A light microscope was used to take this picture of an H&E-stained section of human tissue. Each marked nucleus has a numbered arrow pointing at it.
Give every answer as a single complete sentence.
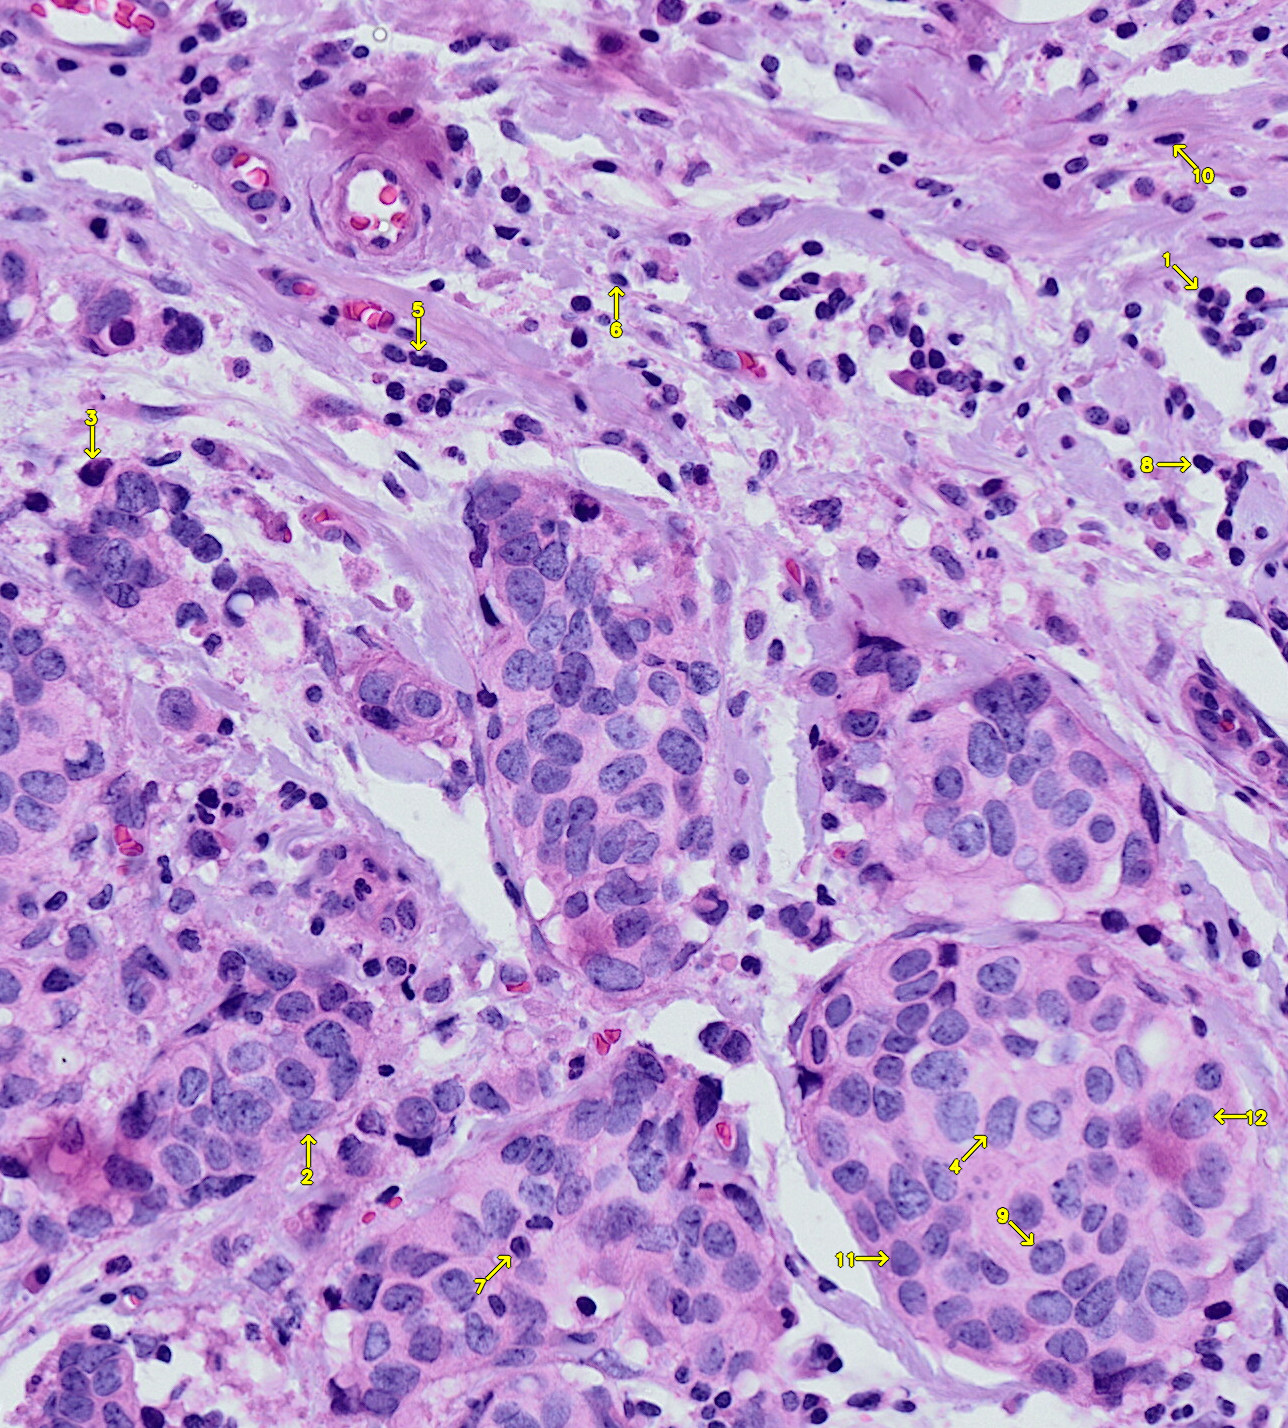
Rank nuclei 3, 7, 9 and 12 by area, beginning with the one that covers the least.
By area, going up from the smallest, they rank 7, 3, 9, 12.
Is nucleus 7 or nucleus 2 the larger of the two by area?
Nucleus 2 is the larger one, covering about 2.5 times the area of nucleus 7.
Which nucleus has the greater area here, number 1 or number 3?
The larger nucleus is 3, at roughly 3 times the area of 1.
